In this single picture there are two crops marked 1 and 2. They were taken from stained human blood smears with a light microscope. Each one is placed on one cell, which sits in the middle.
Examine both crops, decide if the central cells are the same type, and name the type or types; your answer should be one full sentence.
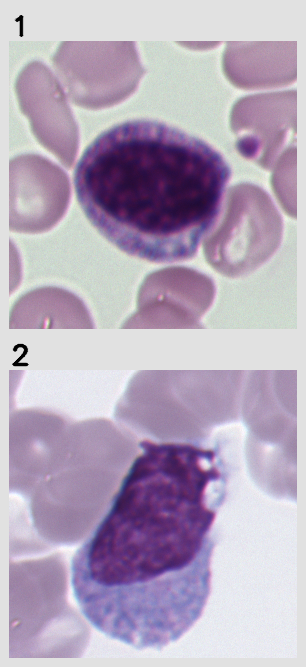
No, the assignment should read crop 1, a metamyelocyte; crop 2, a monocyte.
